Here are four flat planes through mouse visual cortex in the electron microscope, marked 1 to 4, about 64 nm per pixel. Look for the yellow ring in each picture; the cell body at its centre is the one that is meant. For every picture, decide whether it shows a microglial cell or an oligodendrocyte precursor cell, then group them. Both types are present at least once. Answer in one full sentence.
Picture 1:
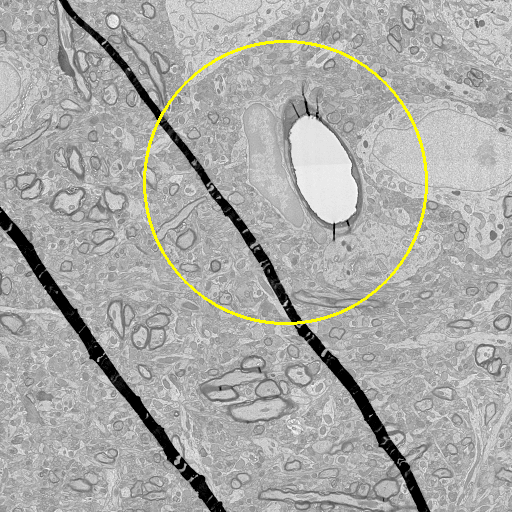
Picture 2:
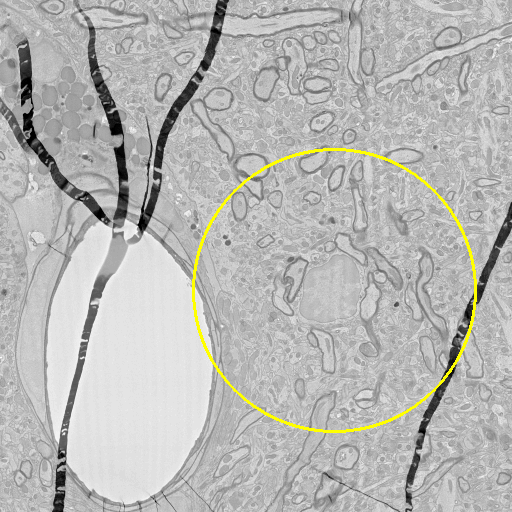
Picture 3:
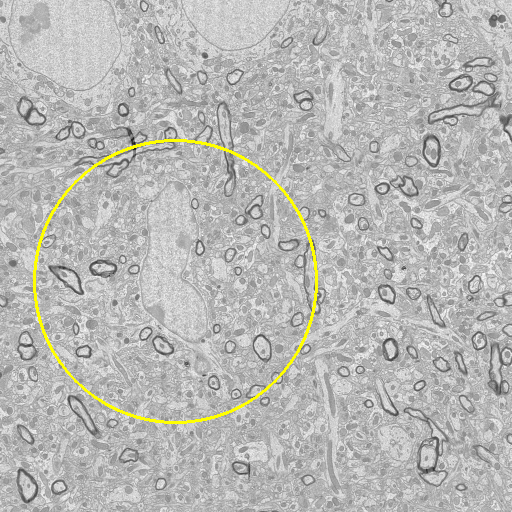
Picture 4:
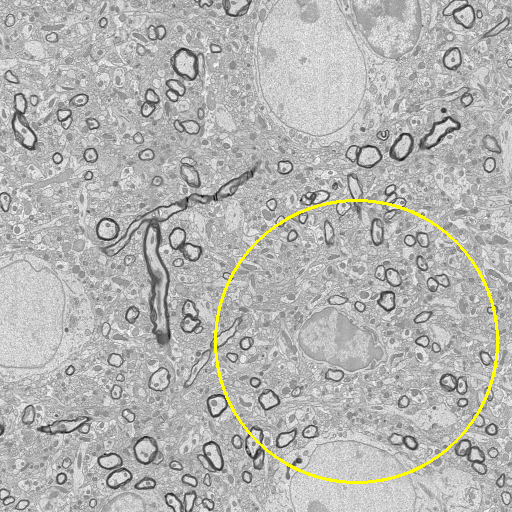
Pictures 1, 2 and 4 show microglial cells, while picture 3 shows an oligodendrocyte precursor cell.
